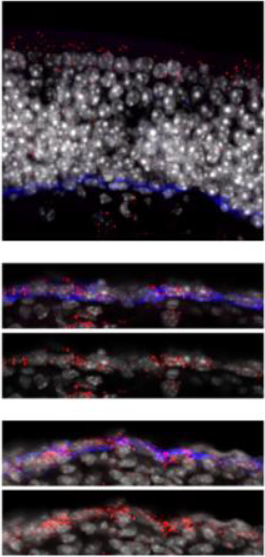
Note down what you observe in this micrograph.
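The top image shows a thick, densely nucleated epithelium with bright grey nuclei and a blue band along its base, with red dots scattered mostly near the surface. The lower strips show a thin, few-cell-thick epithelium with a blue basal layer and abundant red dots among the nuclei.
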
